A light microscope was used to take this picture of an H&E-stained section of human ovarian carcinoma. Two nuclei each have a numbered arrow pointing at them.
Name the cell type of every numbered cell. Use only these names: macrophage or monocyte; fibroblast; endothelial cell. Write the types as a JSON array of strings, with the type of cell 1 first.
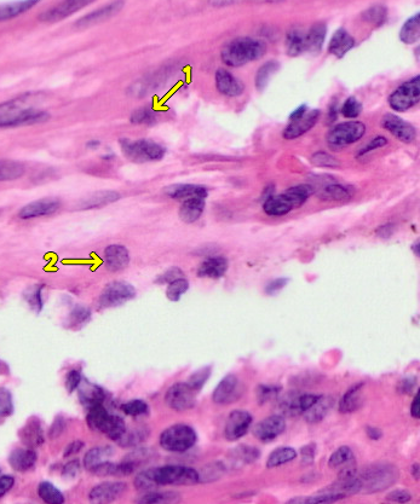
["fibroblast", "macrophage or monocyte"]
